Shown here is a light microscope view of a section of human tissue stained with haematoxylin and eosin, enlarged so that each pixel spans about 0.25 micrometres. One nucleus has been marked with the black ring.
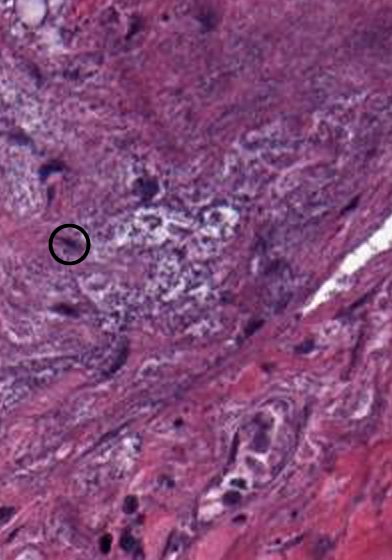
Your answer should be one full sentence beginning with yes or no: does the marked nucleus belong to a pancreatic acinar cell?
No, not a pancreatic acinar cell but a supporting cell is the owner of the marked nucleus.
